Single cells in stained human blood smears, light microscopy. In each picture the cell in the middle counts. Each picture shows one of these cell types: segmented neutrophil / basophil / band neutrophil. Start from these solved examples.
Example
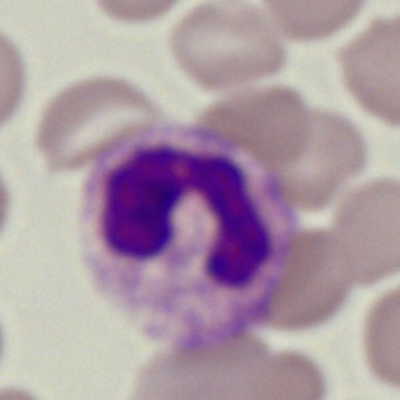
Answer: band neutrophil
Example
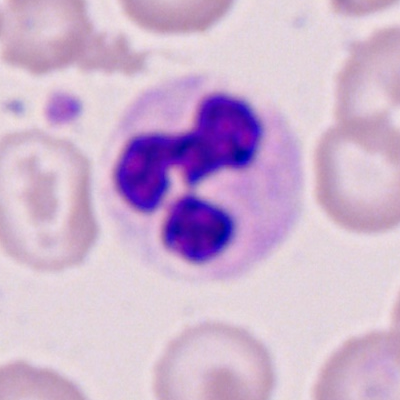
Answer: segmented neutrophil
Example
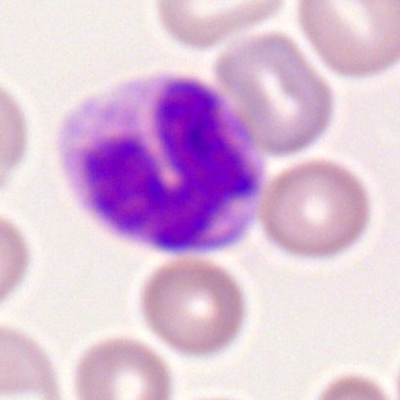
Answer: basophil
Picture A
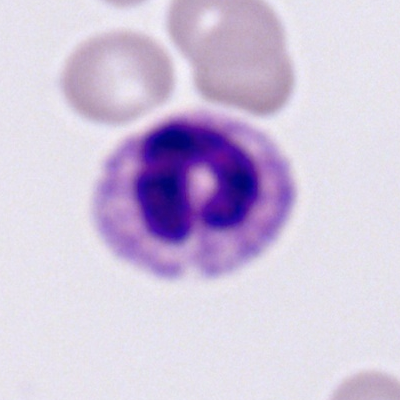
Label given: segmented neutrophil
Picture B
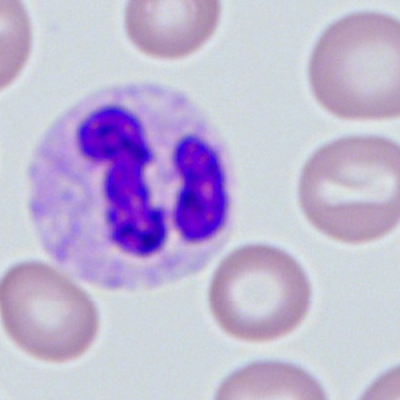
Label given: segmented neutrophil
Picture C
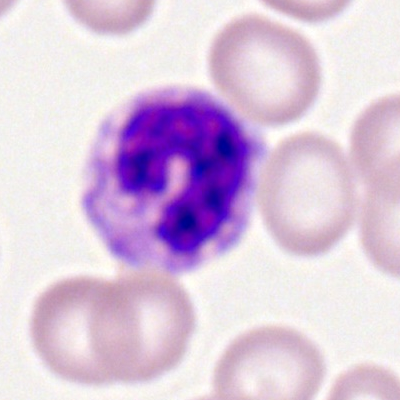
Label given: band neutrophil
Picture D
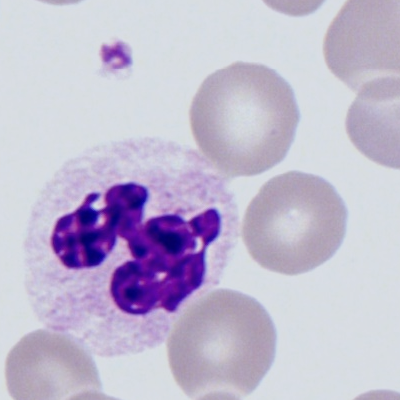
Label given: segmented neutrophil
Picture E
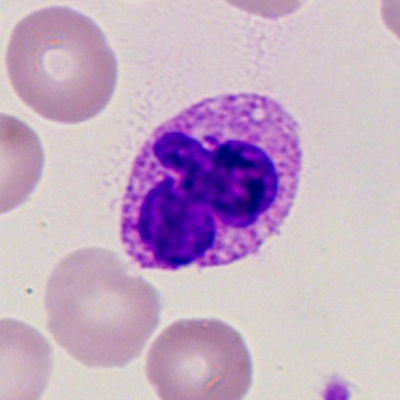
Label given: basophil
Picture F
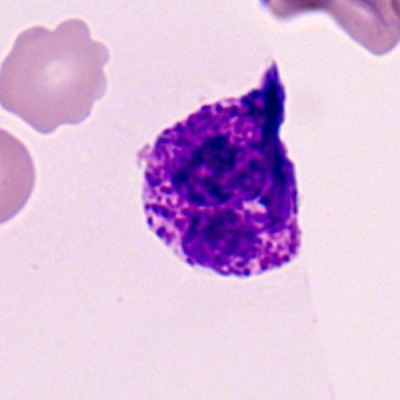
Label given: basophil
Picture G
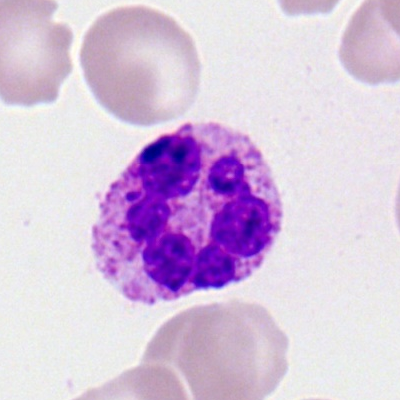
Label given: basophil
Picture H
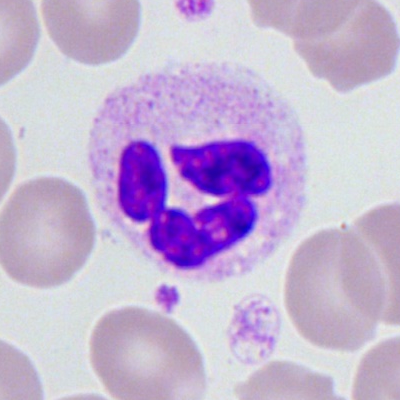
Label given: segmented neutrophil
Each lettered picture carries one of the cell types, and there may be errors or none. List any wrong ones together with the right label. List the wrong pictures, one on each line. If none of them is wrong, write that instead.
A: not segmented neutrophil but band neutrophil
